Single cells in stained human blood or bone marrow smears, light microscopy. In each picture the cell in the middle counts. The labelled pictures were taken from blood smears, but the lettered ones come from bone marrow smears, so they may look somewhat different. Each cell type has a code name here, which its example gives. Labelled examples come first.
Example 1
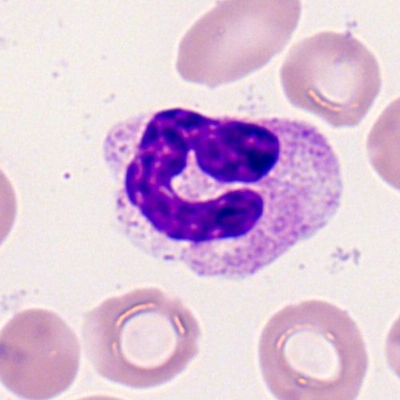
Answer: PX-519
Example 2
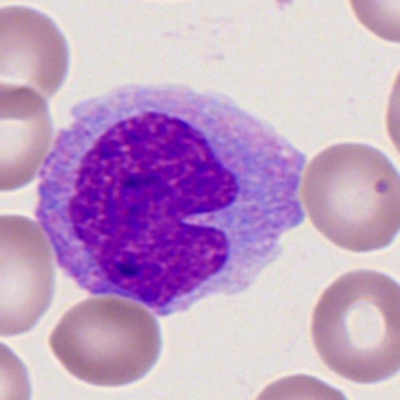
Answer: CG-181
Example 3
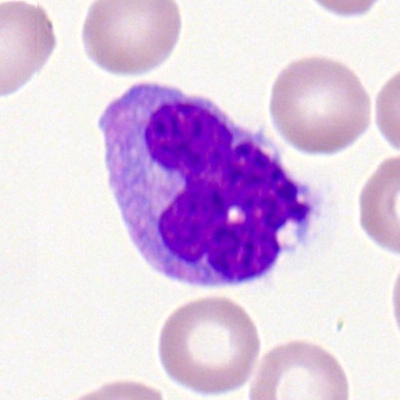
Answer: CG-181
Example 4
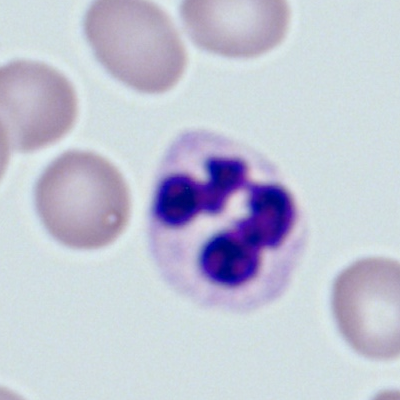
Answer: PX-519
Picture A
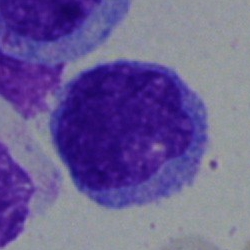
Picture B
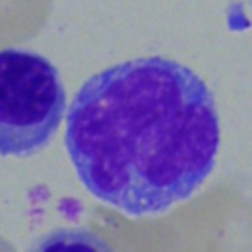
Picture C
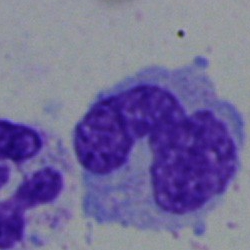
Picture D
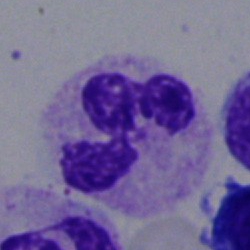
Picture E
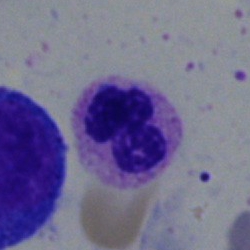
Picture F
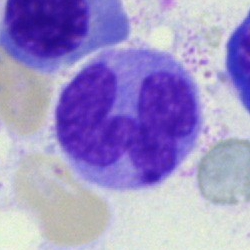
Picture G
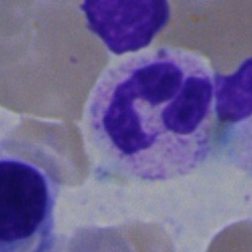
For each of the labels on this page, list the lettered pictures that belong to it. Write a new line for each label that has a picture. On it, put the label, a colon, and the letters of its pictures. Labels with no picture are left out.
PX-519: D, E, G
CG-181: A, B, C, F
